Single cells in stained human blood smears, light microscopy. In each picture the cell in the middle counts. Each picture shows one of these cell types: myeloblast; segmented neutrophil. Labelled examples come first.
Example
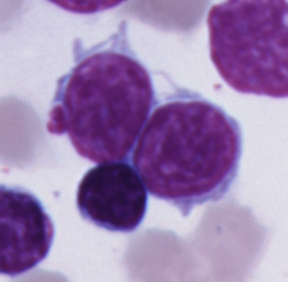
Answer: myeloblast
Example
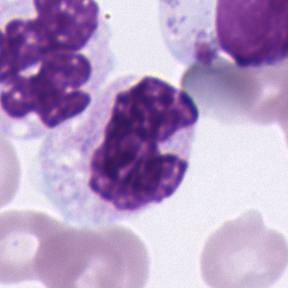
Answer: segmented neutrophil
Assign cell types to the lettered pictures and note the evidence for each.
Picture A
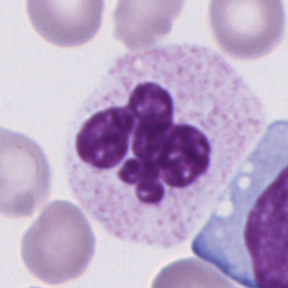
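segmented neutrophil. The cytoplasm is abundant and pale pinkish-lilac.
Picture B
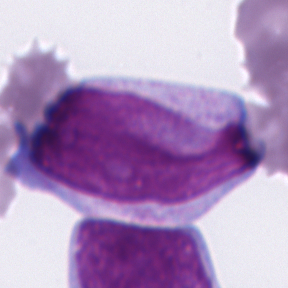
myeloblast. The nucleus fills most of the cell.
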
